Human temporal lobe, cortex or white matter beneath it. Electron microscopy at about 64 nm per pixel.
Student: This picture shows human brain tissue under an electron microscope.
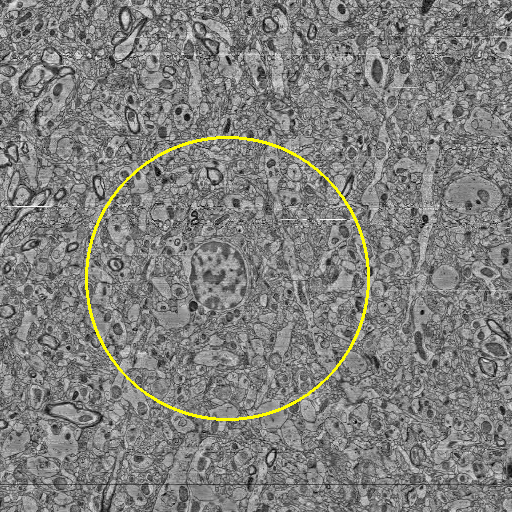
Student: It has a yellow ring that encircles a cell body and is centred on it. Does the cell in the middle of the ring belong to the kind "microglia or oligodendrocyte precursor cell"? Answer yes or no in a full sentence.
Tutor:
Yes, the cell in the middle of the ring in this picture is of that kind.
